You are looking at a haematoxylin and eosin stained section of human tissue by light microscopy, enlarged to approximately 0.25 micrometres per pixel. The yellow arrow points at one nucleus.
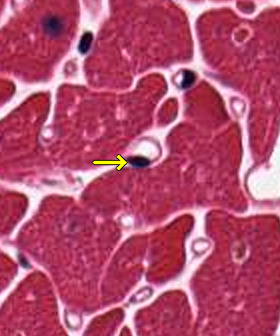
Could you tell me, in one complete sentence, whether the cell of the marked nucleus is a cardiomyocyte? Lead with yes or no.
No, what carries the marked nucleus is a supporting cell rather than a cardiomyocyte.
